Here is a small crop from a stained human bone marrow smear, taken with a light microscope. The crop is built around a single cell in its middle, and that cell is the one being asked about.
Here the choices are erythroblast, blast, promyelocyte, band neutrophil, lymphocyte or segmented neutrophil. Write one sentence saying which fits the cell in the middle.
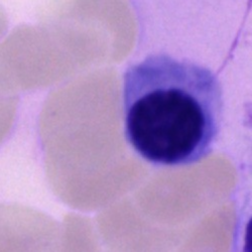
The cell centered in this field of view is an erythroblast.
